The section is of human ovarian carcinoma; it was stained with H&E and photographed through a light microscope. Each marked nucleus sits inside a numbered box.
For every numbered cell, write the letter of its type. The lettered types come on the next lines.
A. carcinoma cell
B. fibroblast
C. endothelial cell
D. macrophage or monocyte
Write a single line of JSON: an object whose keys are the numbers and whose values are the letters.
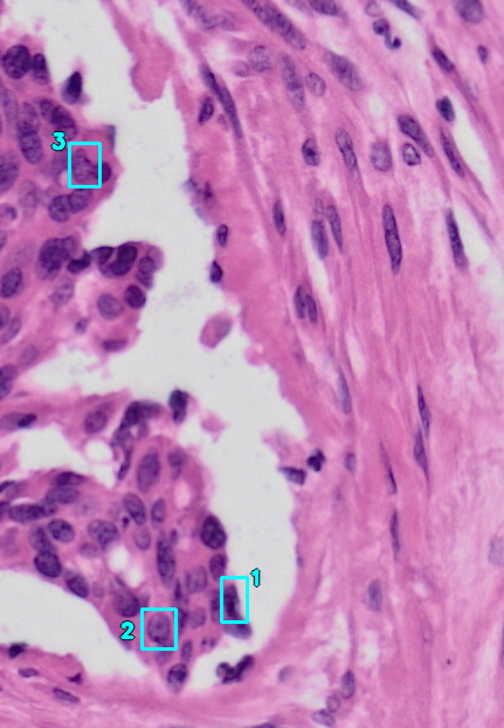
{"1": "A", "2": "D", "3": "A"}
